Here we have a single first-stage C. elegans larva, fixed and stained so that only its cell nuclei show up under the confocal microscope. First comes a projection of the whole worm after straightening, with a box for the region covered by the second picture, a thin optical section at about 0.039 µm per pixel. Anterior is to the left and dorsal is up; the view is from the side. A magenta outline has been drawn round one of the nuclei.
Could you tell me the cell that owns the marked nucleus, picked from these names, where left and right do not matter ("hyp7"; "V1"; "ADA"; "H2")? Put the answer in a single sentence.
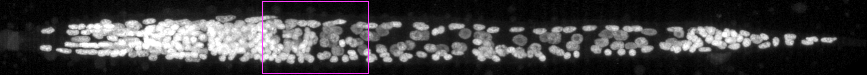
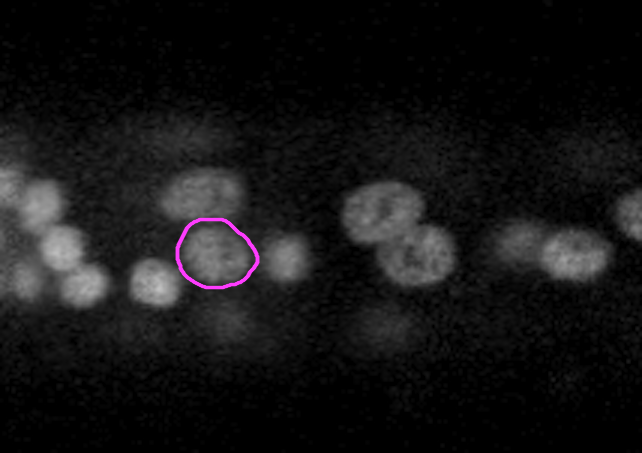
This is the nucleus of H2, a seam cell.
